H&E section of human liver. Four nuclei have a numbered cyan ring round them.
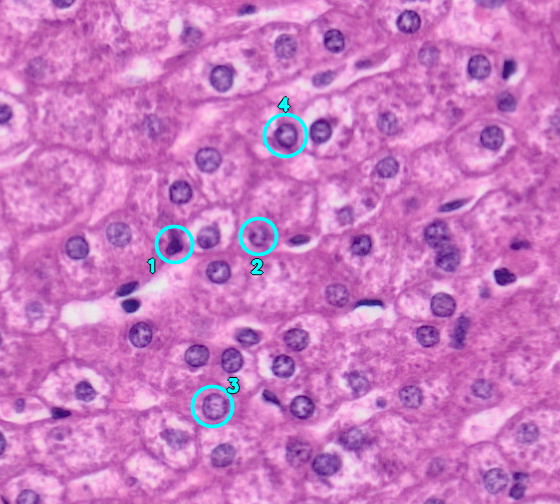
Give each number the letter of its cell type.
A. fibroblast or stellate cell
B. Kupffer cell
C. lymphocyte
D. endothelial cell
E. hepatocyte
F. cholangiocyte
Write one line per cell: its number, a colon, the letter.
1: A
2: E
3: E
4: E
